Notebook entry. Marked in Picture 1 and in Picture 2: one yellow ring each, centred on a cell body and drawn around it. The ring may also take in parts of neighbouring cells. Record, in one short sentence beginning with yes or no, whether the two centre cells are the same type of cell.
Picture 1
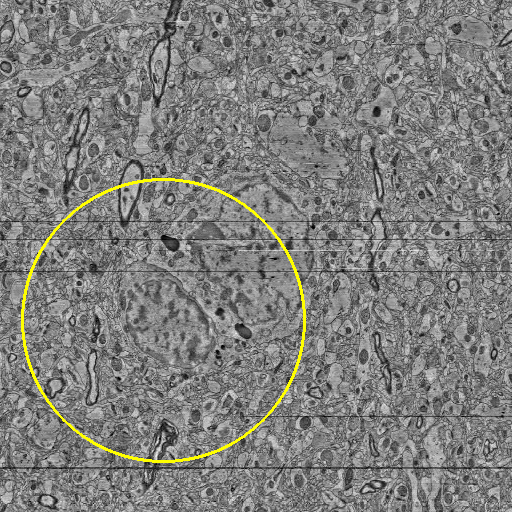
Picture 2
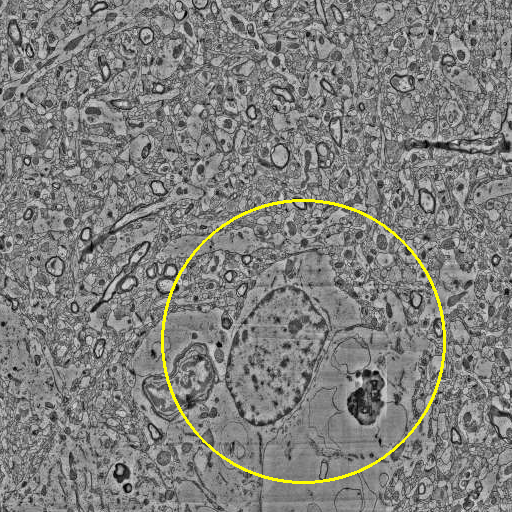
No, they are two types of cell.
